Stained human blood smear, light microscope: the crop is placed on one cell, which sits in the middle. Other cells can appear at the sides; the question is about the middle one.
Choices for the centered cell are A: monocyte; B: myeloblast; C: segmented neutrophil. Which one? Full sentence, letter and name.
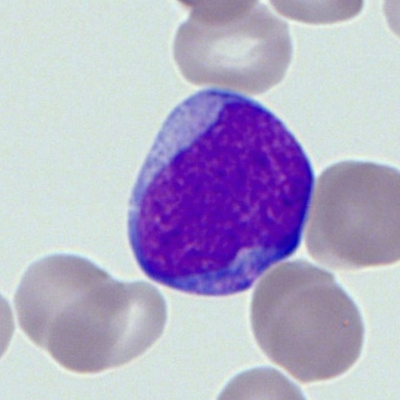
In the middle of the crop is a myeloblast; option B is therefore correct.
